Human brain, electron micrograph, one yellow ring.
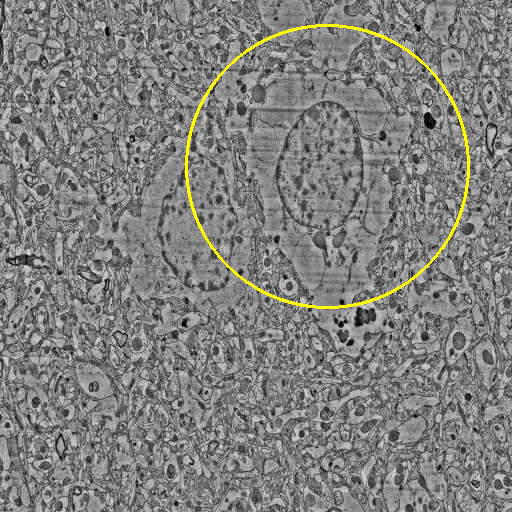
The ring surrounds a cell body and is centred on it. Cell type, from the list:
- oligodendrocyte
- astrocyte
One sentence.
The yellow ring circles an astrocyte.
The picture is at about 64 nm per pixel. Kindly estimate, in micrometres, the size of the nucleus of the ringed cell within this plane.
The nucleus comes to approximately 8 by 6 micrometres and is clearly longer than it is wide in this plane.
